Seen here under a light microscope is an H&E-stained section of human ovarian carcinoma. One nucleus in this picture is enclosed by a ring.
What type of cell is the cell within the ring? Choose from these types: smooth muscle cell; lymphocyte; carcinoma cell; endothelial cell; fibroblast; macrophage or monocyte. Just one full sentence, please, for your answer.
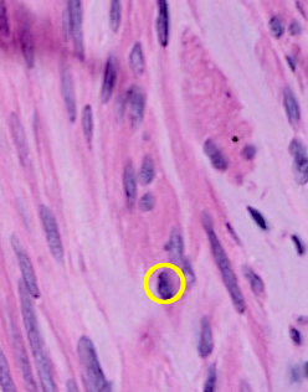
The identity of the cell within the ring is that of a smooth muscle cell.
